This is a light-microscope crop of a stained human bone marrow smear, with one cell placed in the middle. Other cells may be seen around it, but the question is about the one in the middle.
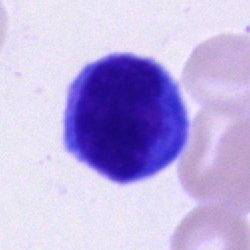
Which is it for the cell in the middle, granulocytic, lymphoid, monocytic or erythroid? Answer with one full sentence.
The cell occupying the center of the frame is part of the monocytic lineage.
